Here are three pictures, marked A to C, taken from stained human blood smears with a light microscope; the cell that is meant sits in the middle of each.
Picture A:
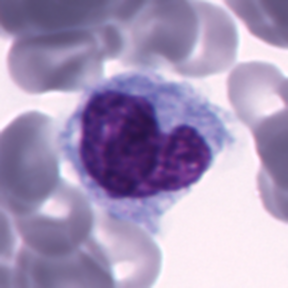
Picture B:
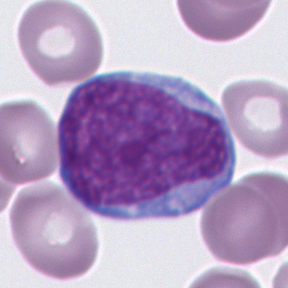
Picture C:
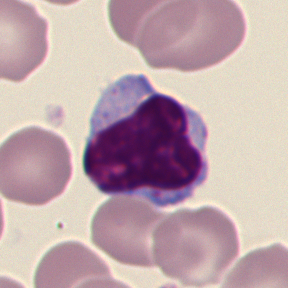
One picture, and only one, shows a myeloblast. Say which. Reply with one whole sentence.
It is picture B that shows the myeloblast.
